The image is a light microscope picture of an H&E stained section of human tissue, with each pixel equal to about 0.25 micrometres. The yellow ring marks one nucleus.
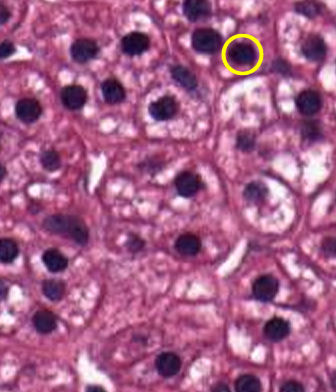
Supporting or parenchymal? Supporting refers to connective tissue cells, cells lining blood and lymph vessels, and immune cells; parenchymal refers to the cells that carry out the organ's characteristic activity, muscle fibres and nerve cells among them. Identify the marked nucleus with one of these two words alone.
parenchymal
